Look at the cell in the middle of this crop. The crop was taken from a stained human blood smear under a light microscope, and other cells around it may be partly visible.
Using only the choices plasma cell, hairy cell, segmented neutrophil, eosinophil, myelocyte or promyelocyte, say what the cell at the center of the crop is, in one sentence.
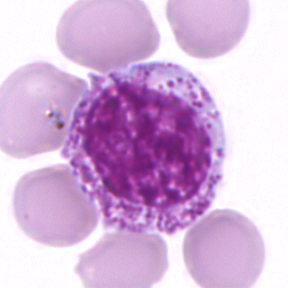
In the middle of this smear crop is a myelocyte.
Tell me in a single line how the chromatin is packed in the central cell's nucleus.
Its chromatin is clumped in a coarse pattern.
